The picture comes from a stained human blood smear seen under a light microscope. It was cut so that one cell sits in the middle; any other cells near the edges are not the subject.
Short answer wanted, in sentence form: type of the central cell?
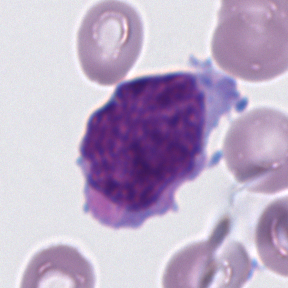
Looking at the middle of the crop, the cell there is an atypical promyelocyte.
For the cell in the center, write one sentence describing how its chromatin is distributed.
The nucleus shows chromatin that is coarsely clumped.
